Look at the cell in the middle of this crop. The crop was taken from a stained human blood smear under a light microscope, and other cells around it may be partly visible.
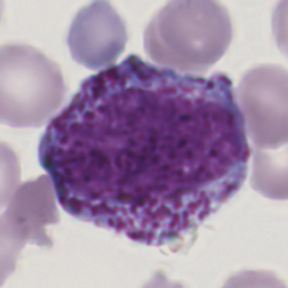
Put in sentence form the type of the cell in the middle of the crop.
The cell nearest the centre of this crop is a promyelocyte.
